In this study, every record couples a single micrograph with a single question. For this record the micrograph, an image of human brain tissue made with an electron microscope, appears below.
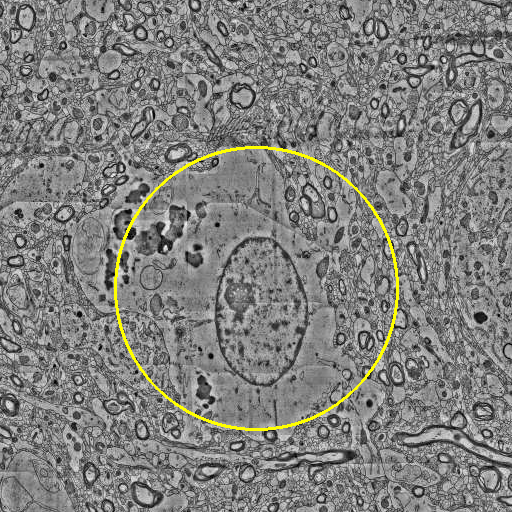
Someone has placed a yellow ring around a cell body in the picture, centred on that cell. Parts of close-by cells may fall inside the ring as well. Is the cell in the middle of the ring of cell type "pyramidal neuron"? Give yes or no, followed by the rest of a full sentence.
No, the cell centred in the ring shown in the picture has a different cell type.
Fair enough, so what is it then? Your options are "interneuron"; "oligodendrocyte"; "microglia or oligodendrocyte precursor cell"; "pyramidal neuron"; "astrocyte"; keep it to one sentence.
Instead, the cell at the centre of the ring is an astrocyte.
